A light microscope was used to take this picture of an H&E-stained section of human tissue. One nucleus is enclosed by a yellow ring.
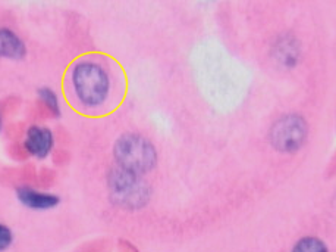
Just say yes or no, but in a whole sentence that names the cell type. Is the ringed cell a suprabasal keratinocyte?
No, on this one the ringed cell is a proximal tubule cell, not a suprabasal keratinocyte.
